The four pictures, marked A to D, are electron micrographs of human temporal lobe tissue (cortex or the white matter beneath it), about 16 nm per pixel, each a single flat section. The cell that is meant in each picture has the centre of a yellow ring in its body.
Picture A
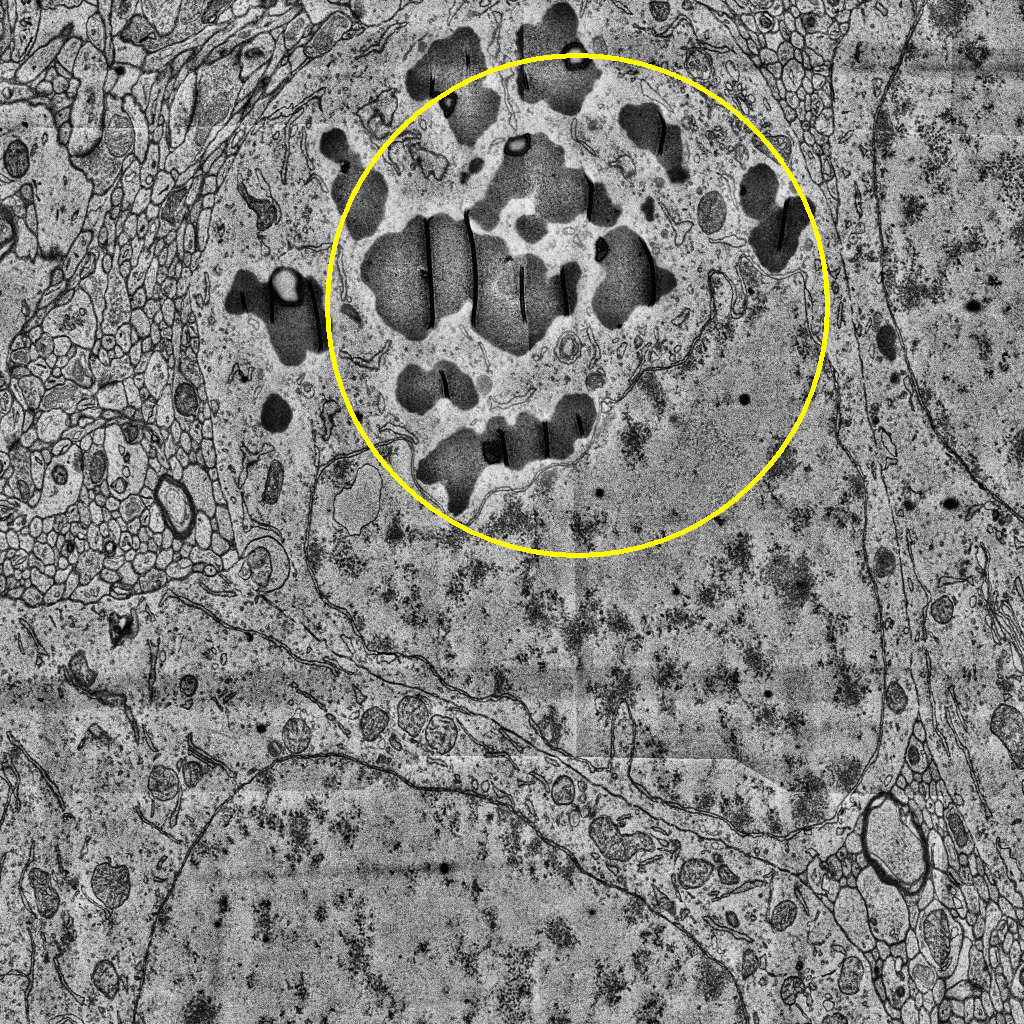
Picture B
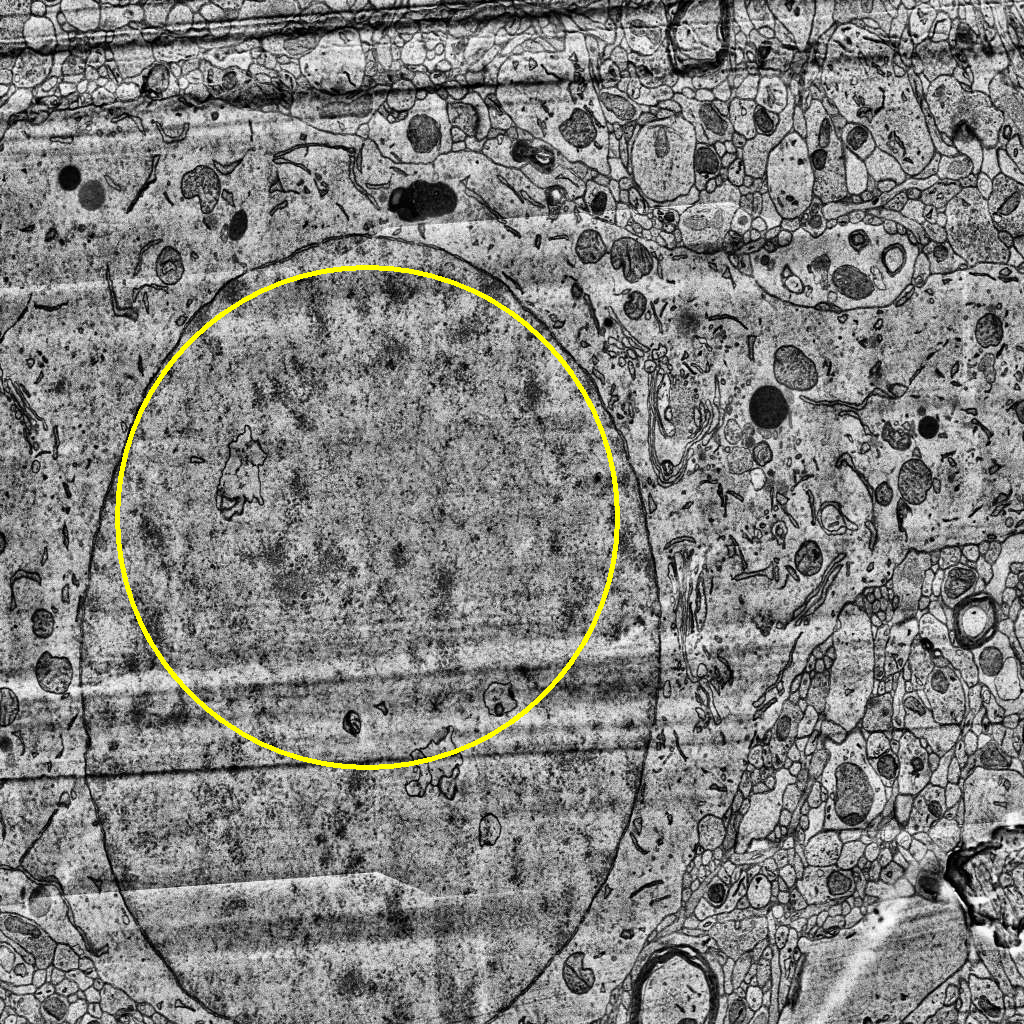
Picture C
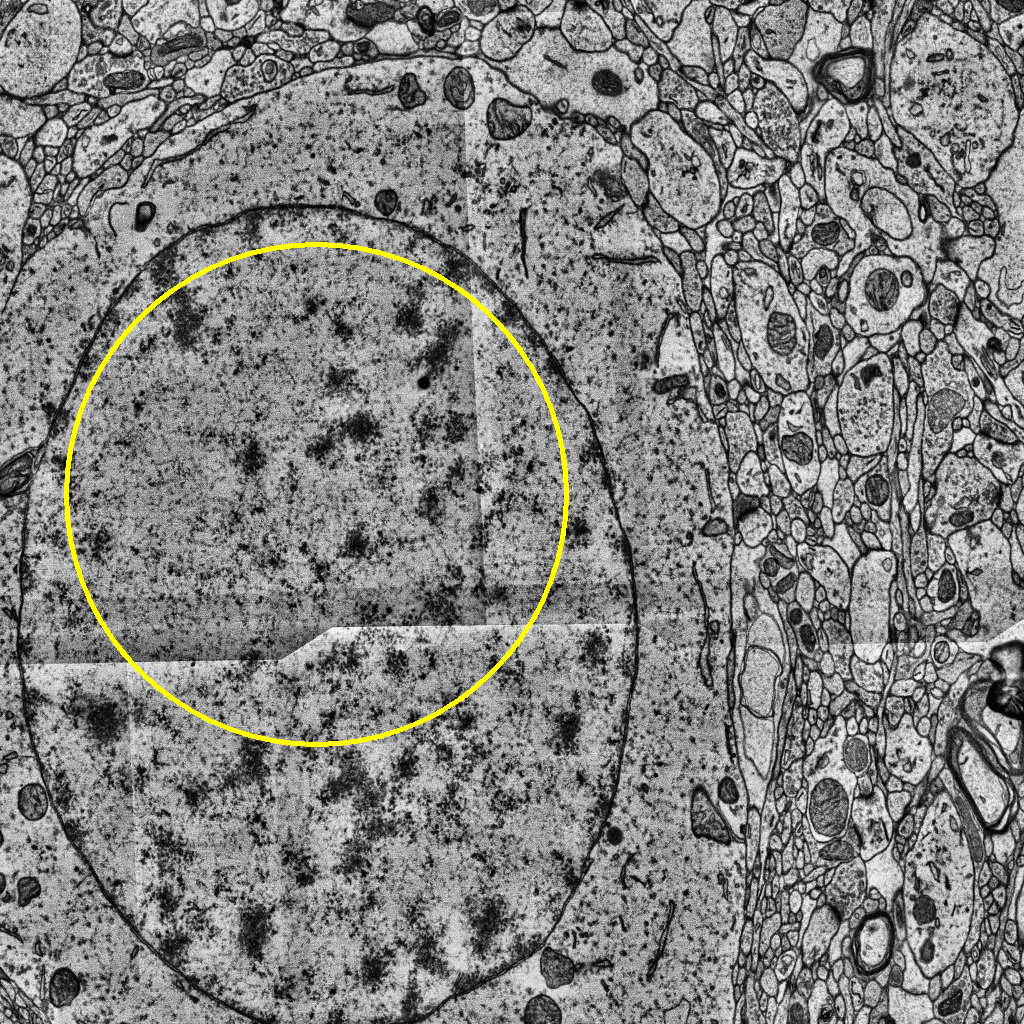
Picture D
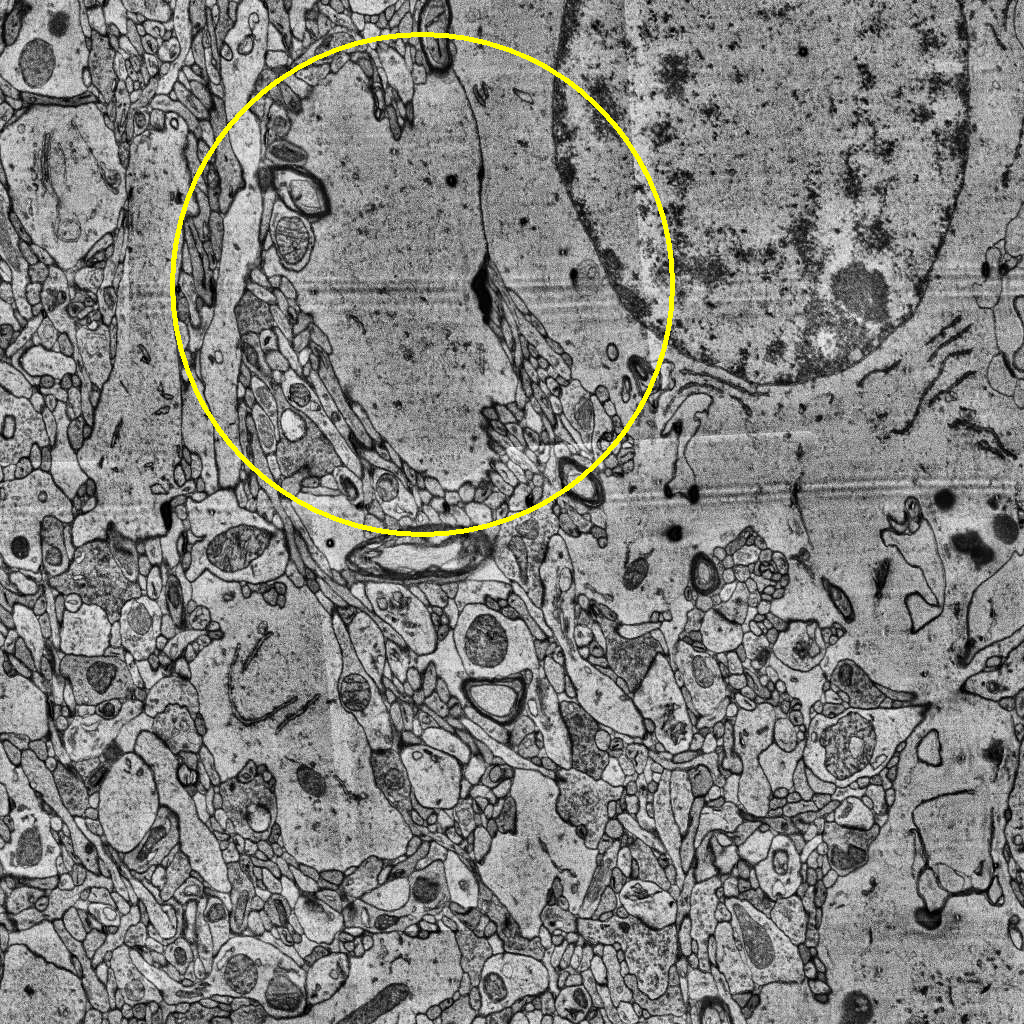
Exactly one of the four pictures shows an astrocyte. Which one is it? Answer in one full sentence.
It is picture D that shows the astrocyte.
